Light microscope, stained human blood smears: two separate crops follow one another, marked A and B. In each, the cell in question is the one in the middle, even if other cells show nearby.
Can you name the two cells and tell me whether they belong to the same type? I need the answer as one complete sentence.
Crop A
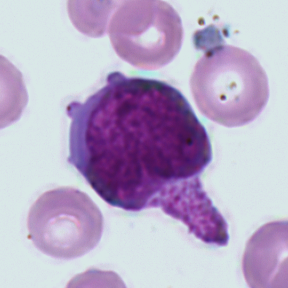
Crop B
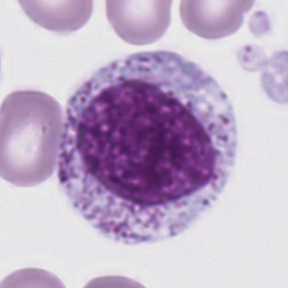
No, crop A shows an atypical promyelocyte, and the cell in crop B is a myelocyte.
